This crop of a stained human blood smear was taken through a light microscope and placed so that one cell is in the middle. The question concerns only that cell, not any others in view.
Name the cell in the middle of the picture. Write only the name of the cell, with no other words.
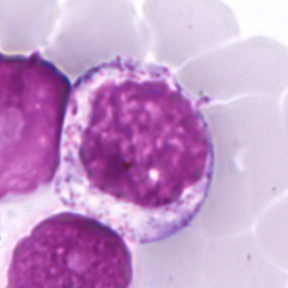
myelocyte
